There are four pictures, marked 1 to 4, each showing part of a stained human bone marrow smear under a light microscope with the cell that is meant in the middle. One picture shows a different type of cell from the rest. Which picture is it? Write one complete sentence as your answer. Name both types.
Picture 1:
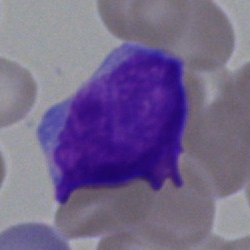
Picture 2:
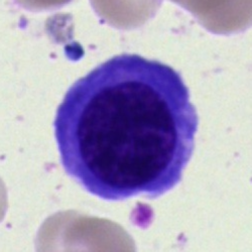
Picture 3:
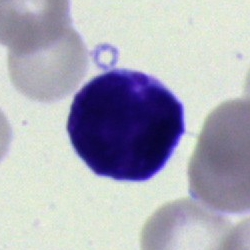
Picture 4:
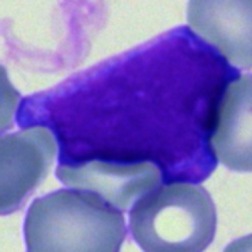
The different one is picture 2; it shows an erythroblast, whereas all the others show blasts.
